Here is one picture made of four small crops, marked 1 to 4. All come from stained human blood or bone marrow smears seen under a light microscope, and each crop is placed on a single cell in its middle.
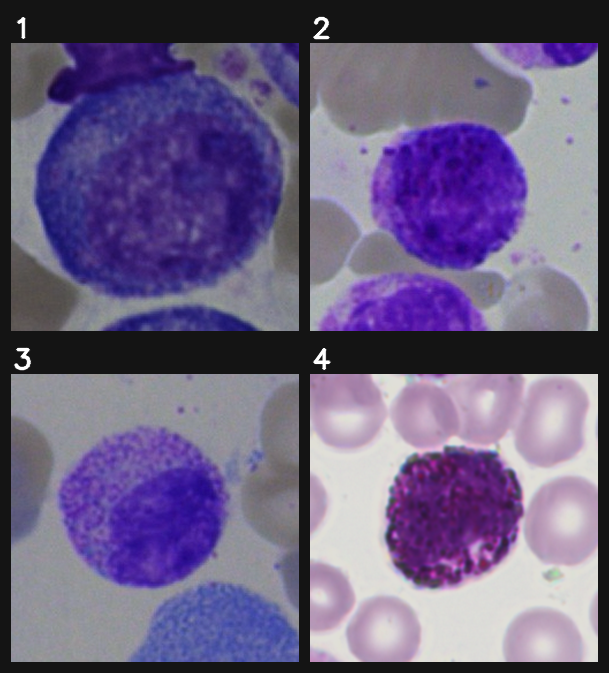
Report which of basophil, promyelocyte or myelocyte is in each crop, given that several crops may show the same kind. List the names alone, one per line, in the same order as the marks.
promyelocyte
basophil
myelocyte
basophil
